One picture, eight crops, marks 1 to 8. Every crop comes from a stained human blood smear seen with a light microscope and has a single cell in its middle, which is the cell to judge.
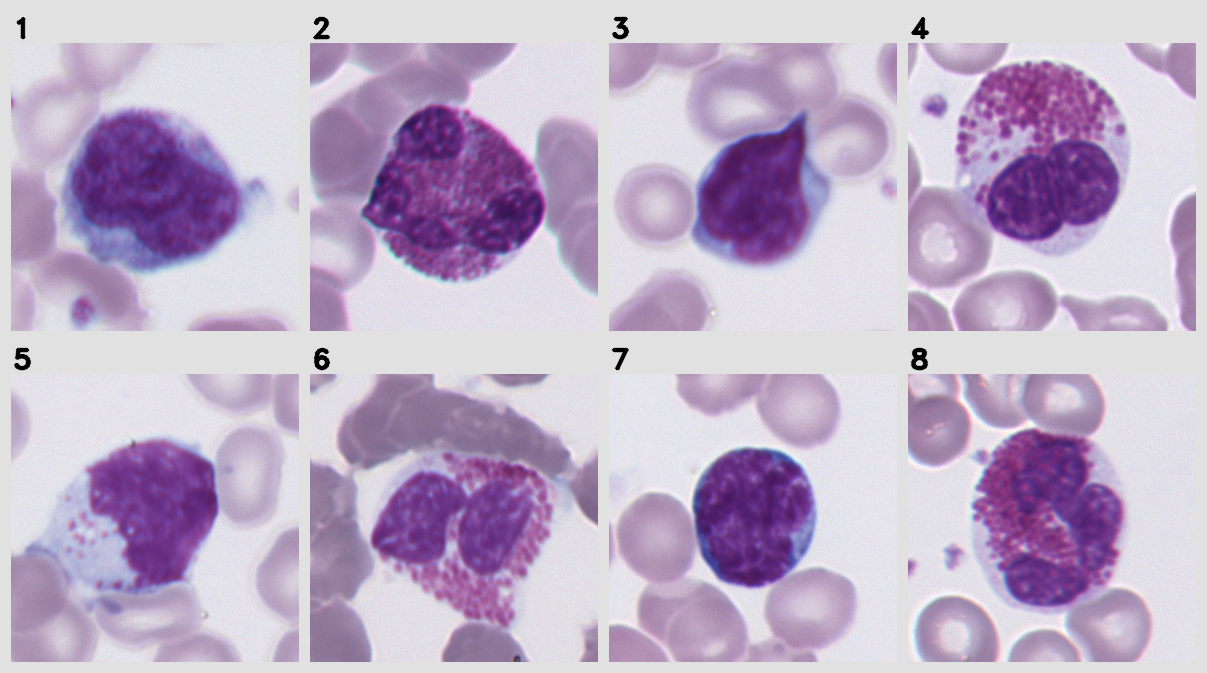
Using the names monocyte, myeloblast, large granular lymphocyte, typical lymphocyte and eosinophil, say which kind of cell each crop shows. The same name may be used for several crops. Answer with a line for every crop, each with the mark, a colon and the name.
1: monocyte
2: eosinophil
3: typical lymphocyte
4: eosinophil
5: large granular lymphocyte
6: eosinophil
7: typical lymphocyte
8: eosinophil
